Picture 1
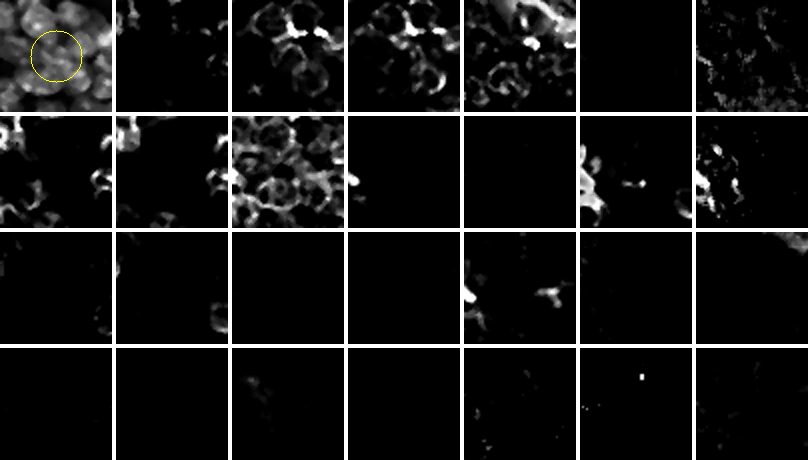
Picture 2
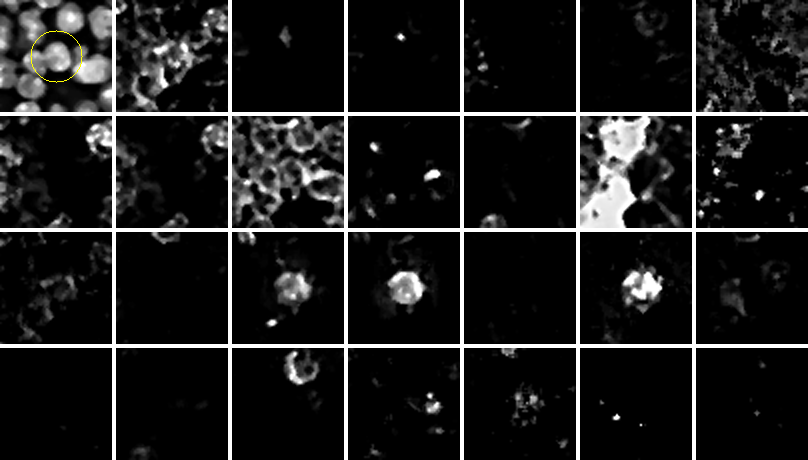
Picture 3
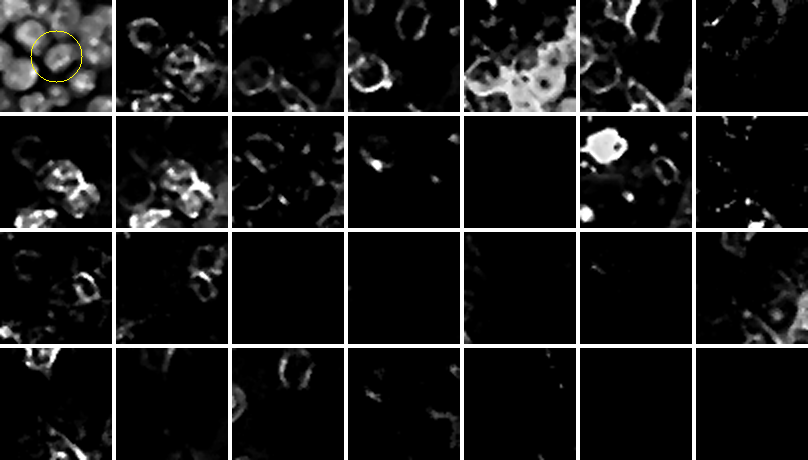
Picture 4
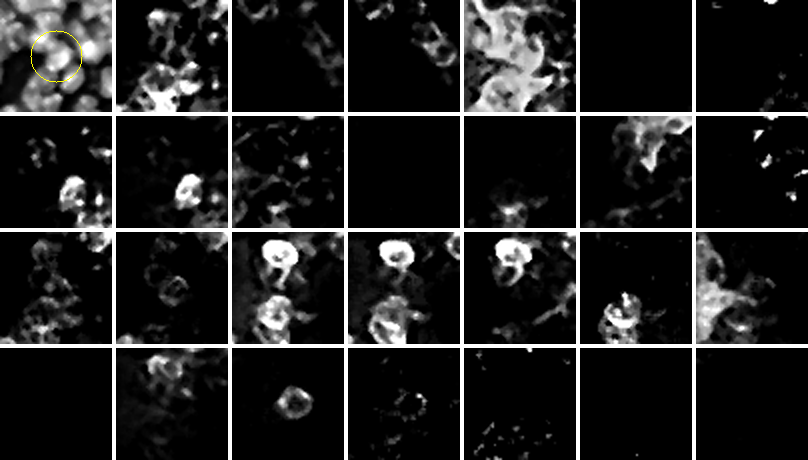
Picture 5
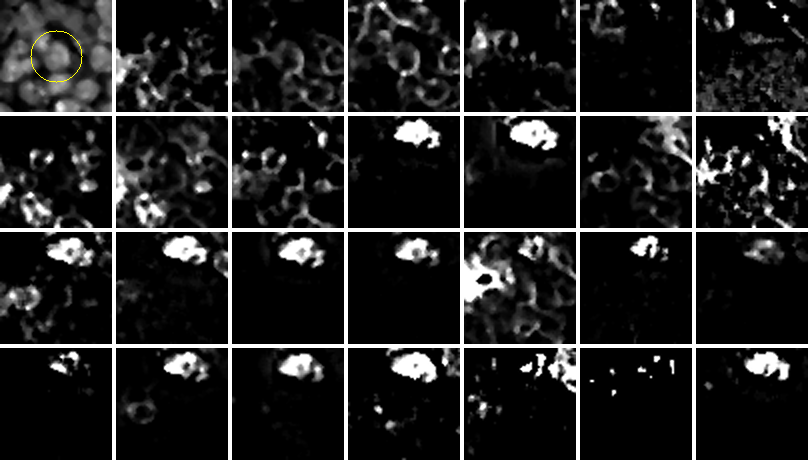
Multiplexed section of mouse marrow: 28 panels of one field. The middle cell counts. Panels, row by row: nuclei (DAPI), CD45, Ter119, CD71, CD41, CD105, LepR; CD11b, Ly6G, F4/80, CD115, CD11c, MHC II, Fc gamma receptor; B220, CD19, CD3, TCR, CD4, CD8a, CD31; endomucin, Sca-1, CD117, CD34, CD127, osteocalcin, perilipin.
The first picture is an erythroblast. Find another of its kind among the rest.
Picture 5.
